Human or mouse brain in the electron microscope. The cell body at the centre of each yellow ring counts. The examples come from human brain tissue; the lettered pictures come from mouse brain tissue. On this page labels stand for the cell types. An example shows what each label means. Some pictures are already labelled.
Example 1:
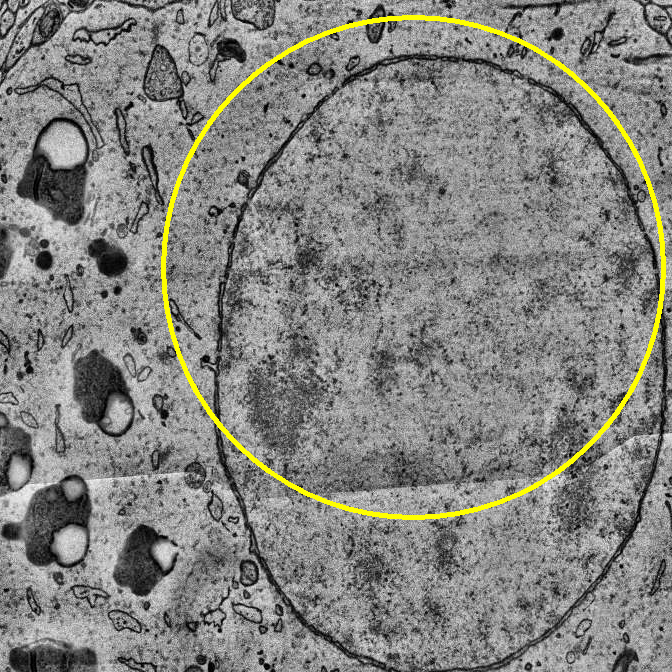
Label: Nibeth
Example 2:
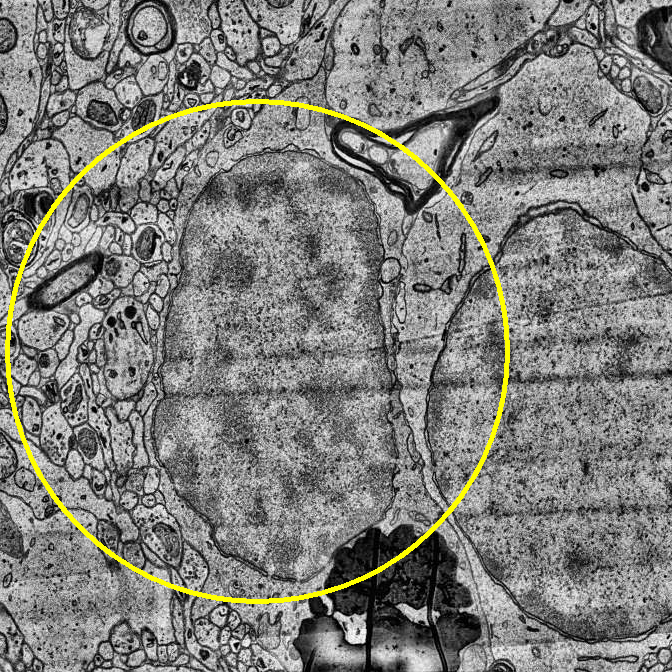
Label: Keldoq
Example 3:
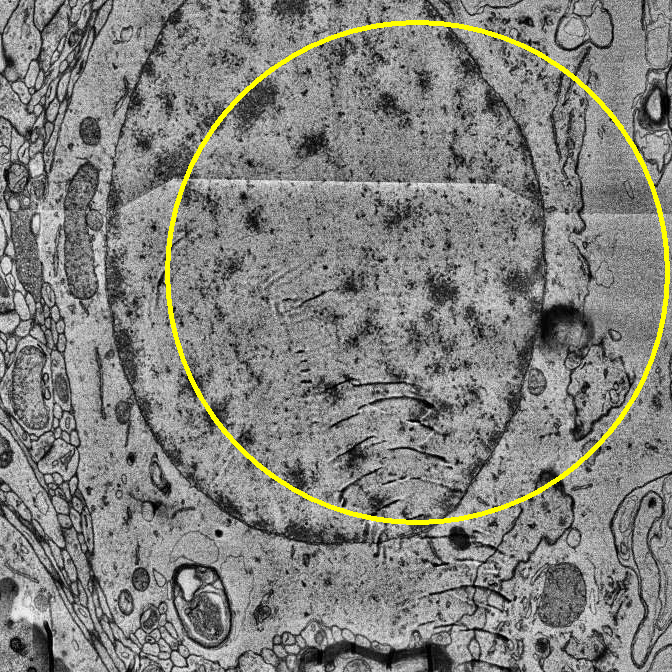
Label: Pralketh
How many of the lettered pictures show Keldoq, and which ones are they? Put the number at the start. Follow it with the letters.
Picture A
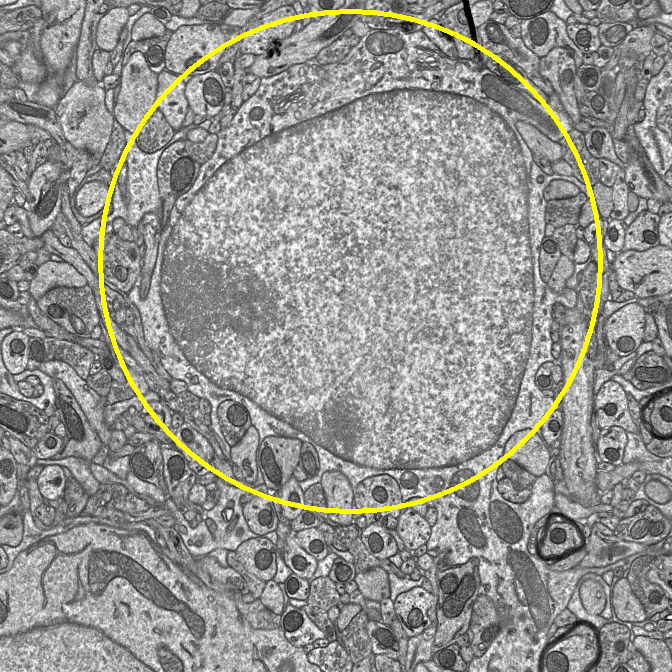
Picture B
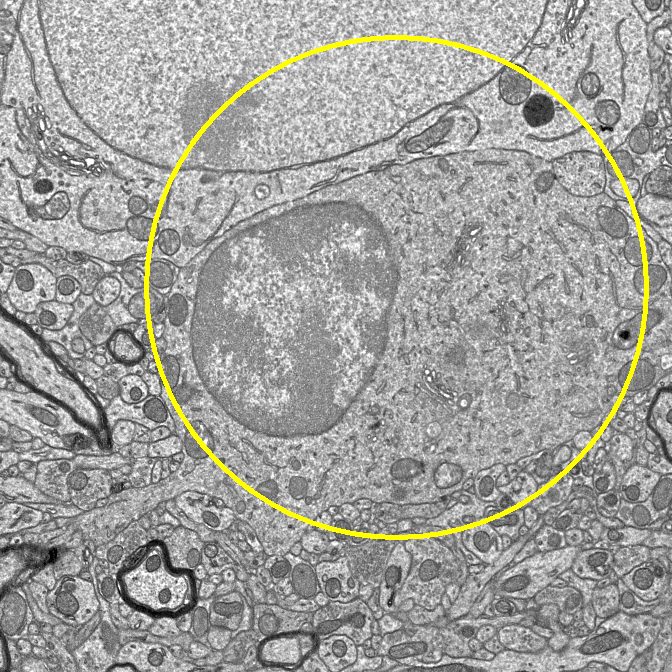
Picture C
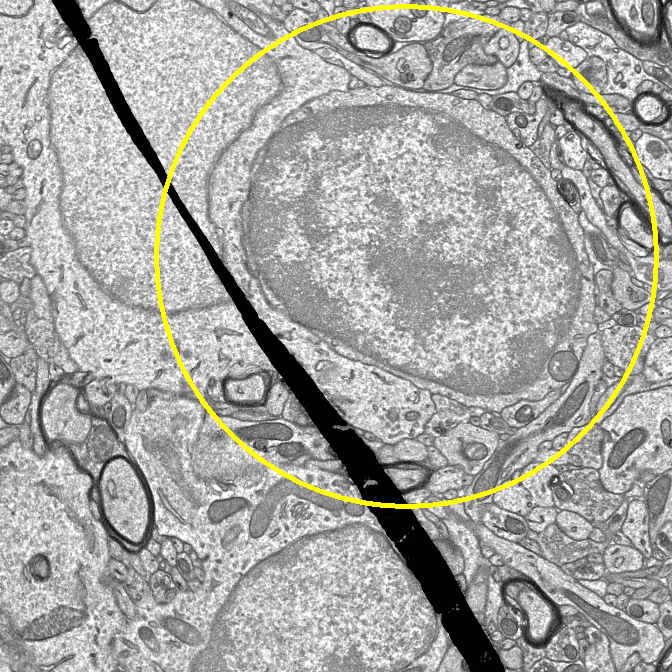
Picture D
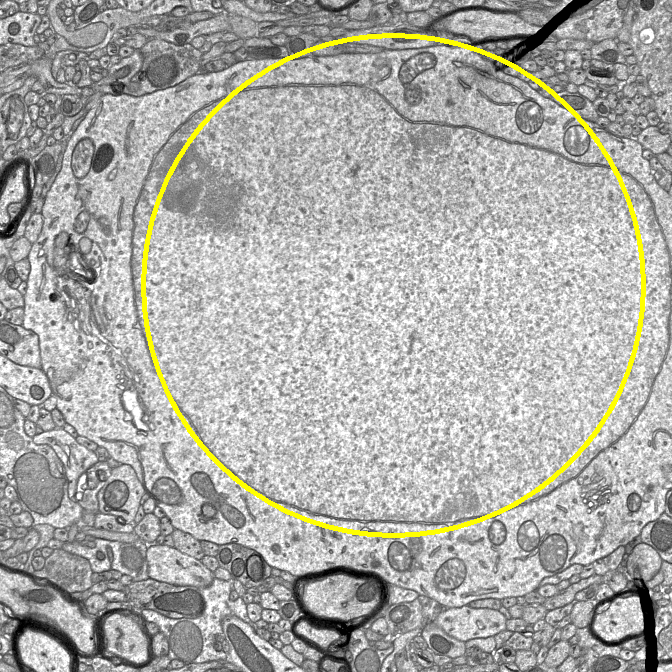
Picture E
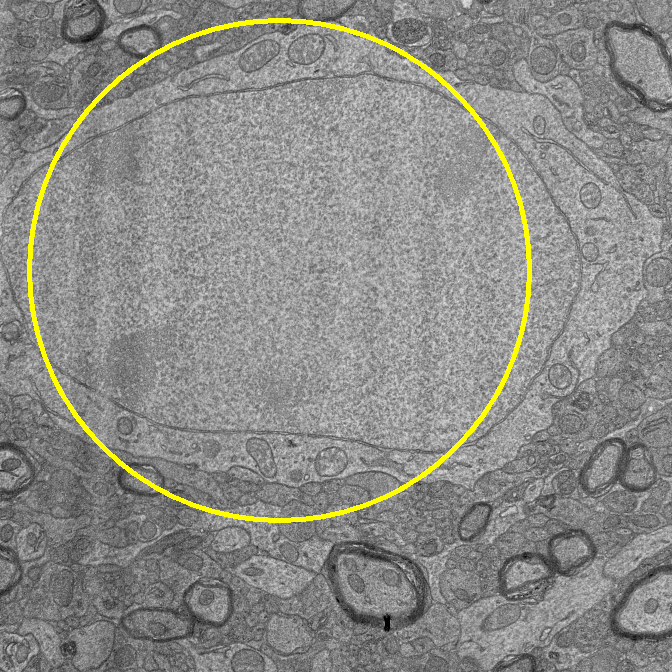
Count: 2 (B, C)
